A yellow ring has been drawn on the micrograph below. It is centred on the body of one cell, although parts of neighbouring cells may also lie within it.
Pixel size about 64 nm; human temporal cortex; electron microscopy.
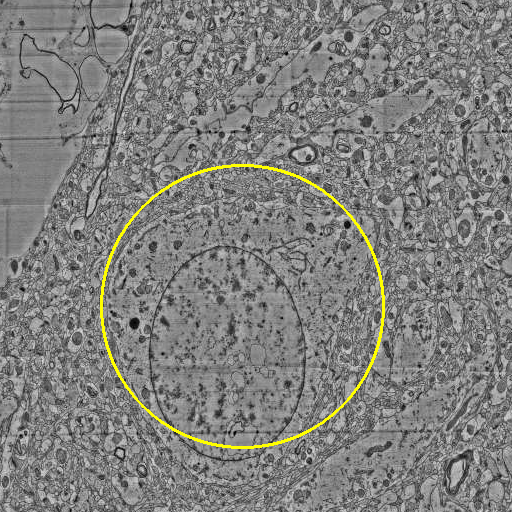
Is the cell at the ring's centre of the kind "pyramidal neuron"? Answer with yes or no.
yes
